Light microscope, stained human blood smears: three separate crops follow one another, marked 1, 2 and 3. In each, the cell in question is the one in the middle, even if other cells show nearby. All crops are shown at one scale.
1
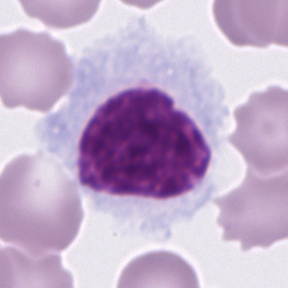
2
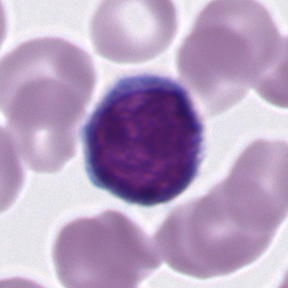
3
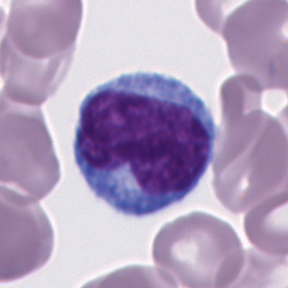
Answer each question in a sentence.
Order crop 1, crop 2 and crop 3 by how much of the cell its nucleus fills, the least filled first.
The least filled comes first: 1, 3, 2.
